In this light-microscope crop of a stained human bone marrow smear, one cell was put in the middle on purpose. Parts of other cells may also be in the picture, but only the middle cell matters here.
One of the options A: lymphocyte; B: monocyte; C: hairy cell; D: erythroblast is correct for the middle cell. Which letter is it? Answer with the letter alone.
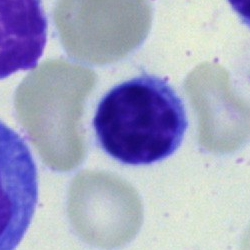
A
